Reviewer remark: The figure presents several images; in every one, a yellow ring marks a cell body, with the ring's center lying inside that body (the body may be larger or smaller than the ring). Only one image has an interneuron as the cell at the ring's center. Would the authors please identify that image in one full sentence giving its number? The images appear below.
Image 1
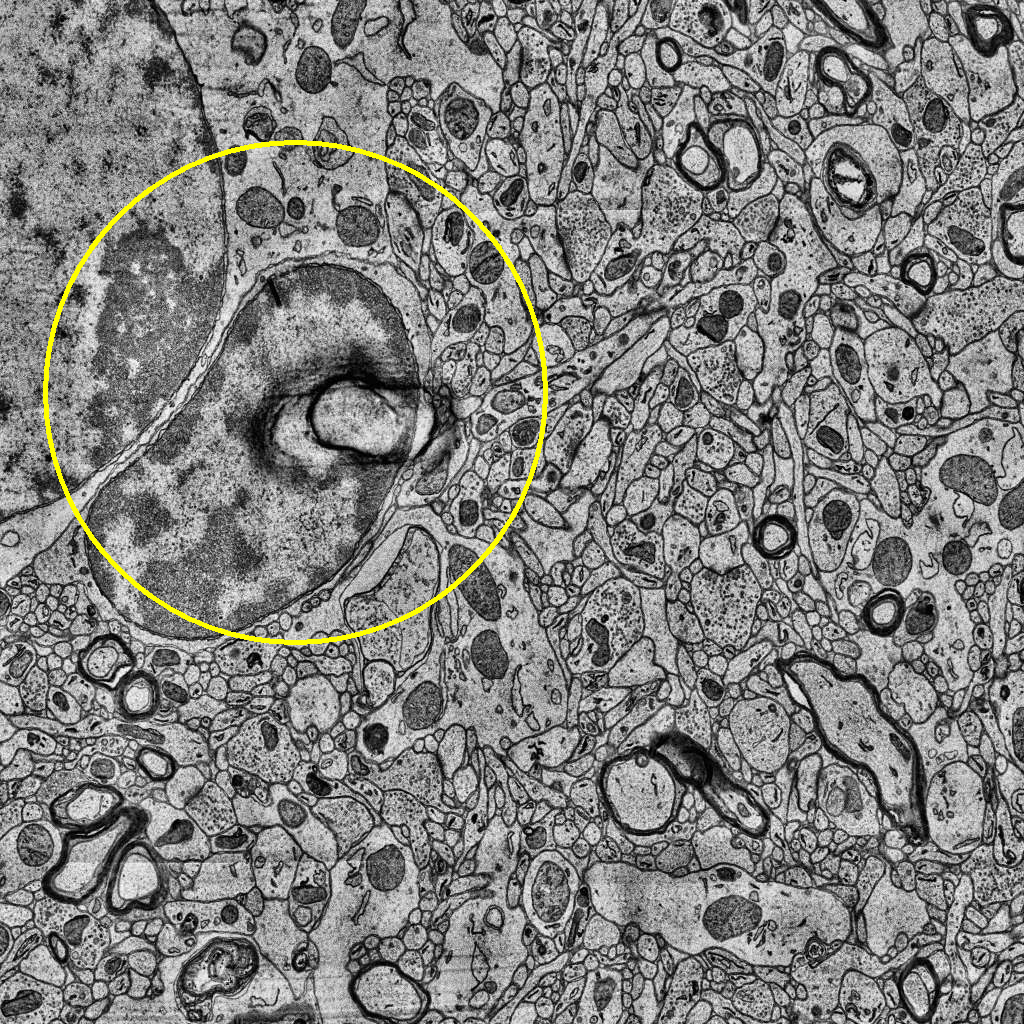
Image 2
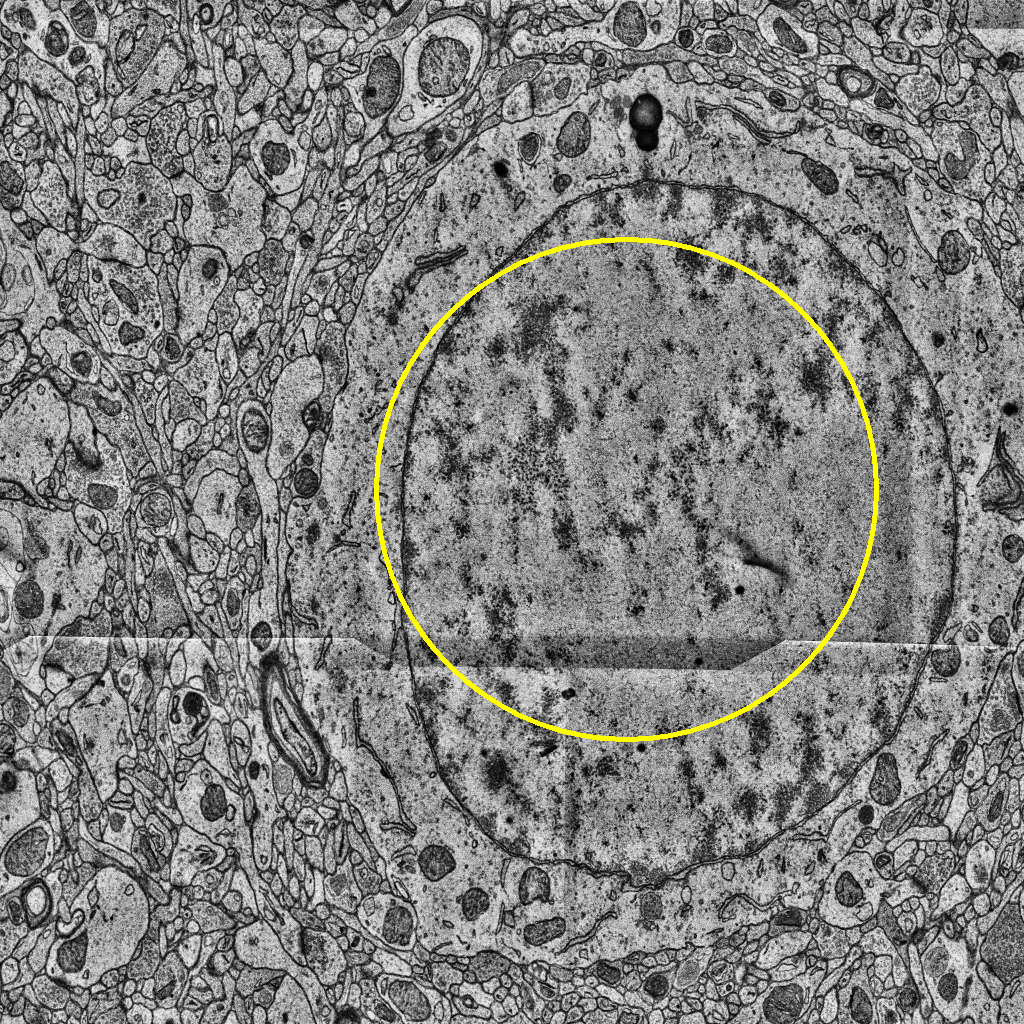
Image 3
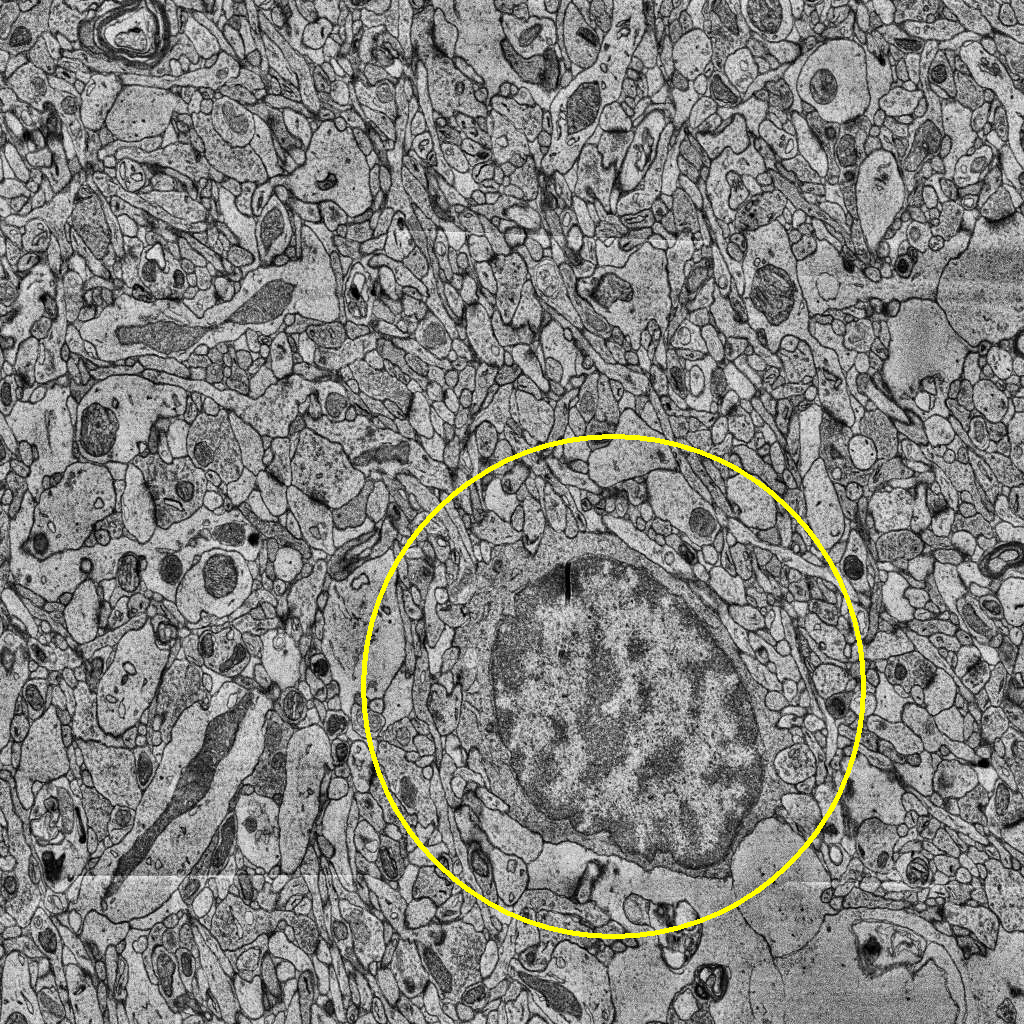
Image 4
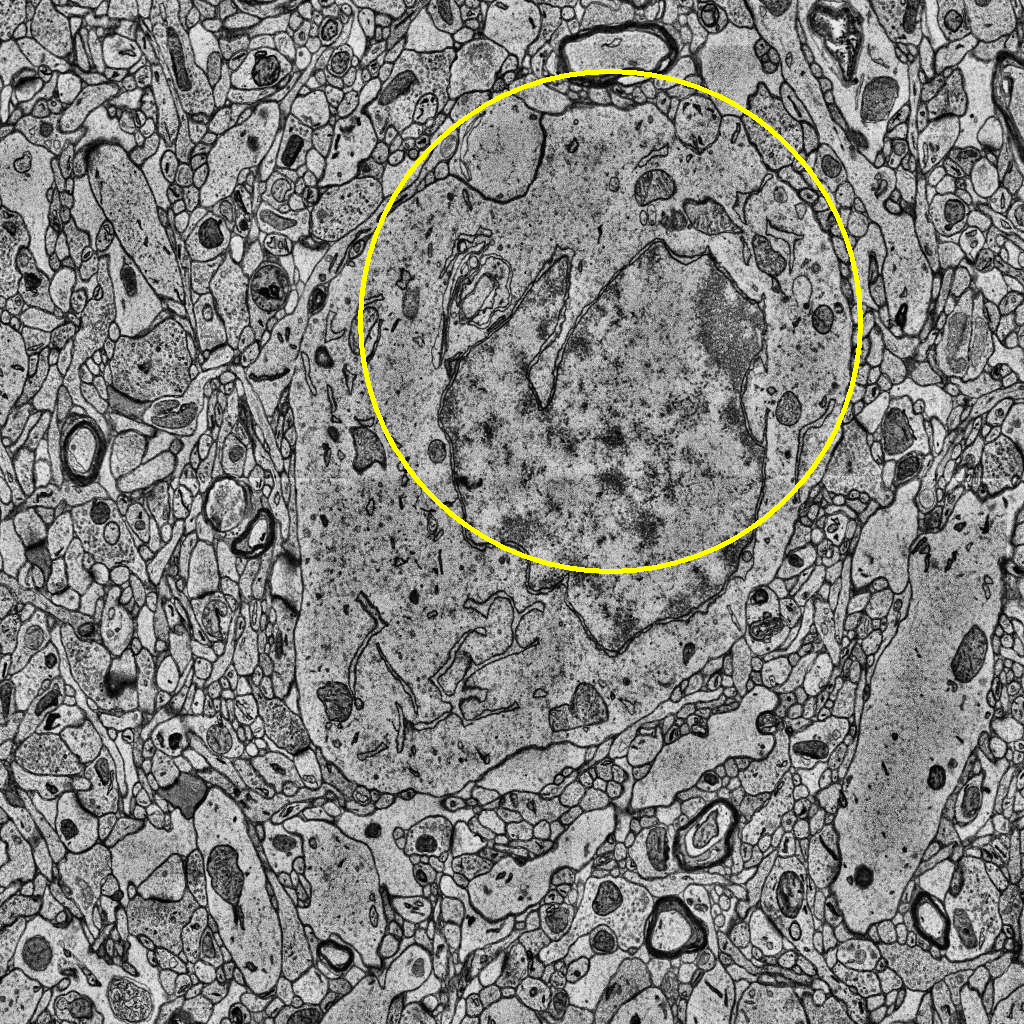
The cell at the ring's center in image 4 is the one the question describes.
